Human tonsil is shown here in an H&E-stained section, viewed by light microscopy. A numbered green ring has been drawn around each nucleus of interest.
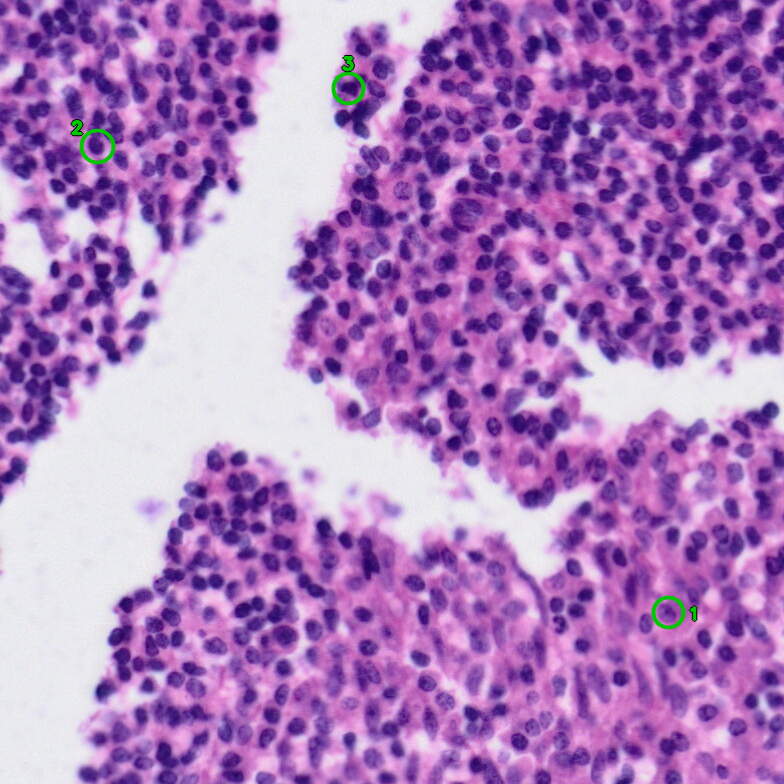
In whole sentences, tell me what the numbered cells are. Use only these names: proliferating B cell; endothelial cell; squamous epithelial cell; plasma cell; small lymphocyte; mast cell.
Cell 1 is a plasma cell. Cells 2 and 3 are small lymphocytes.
